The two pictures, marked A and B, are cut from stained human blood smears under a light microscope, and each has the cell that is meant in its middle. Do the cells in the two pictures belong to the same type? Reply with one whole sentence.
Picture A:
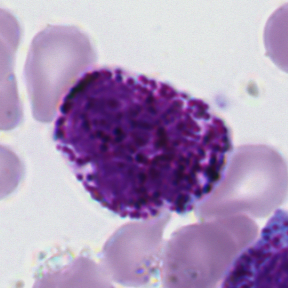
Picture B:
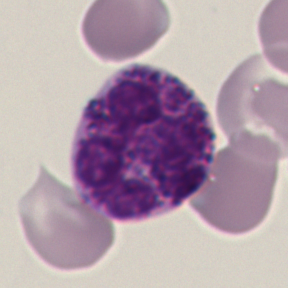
Yes, they are the same type: both are basophils.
